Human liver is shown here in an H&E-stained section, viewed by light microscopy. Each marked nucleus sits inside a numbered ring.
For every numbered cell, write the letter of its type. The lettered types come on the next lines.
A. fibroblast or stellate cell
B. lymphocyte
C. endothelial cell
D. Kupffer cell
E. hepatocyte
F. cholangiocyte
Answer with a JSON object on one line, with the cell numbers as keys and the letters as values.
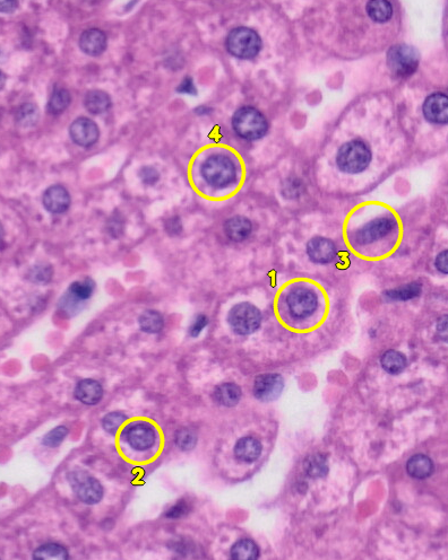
{"1": "E", "2": "E", "3": "D", "4": "E"}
